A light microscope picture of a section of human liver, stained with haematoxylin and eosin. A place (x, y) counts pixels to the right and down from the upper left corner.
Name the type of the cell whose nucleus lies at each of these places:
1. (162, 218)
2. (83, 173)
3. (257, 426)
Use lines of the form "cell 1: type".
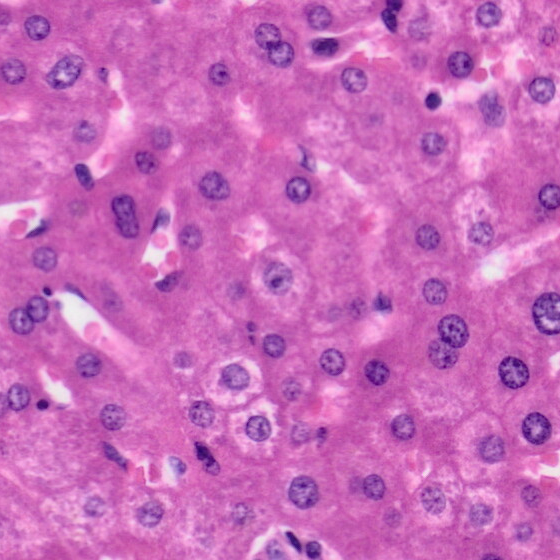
cell 1: endothelial cell
cell 2: fibroblast or stellate cell
cell 3: hepatocyte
